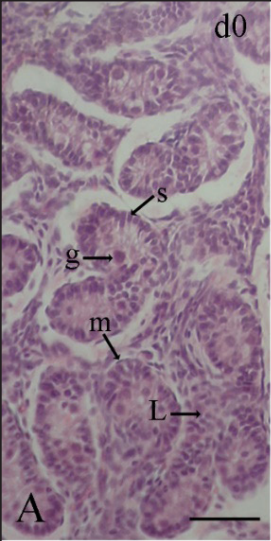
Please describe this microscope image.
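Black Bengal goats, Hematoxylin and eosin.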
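These are solid sex cords of the testis, each rimmed by a row of Sertoli cells with elongated dark nuclei at the periphery and holding a few larger, rounder gonocytes with pale cytoplasm toward the center. There is no lumen, and the cords are surrounded by flattened myoid cells and a cellular stroma between them.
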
